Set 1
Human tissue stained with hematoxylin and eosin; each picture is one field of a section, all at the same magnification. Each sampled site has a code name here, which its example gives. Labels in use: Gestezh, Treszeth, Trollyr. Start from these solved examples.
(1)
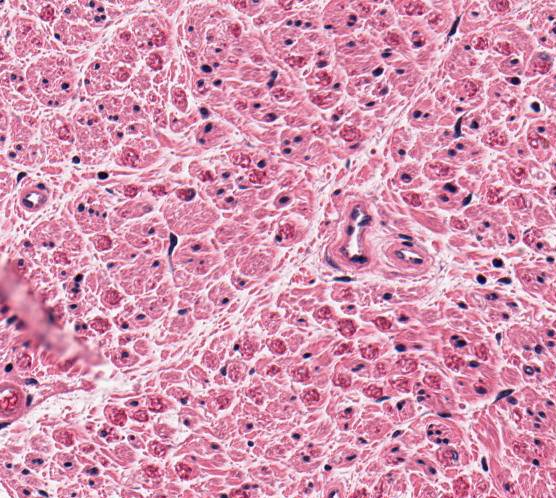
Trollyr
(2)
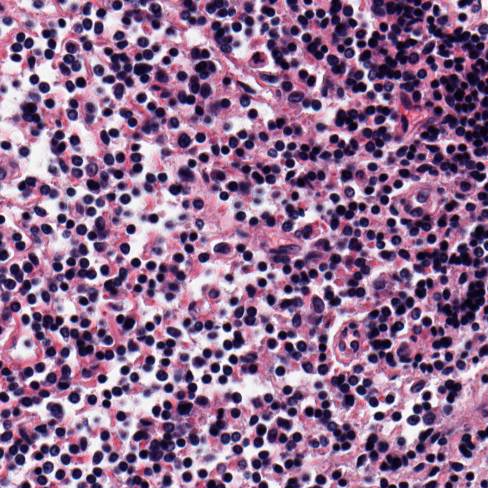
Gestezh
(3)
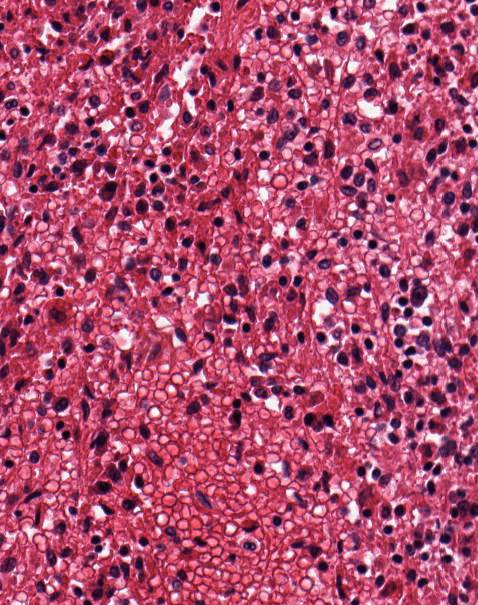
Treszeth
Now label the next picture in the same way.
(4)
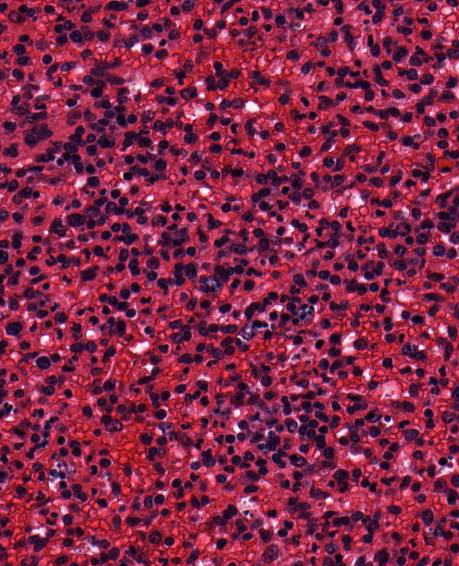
Treszeth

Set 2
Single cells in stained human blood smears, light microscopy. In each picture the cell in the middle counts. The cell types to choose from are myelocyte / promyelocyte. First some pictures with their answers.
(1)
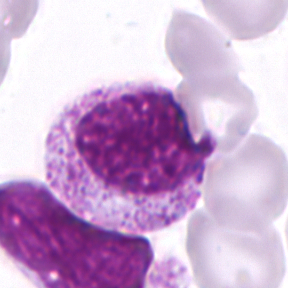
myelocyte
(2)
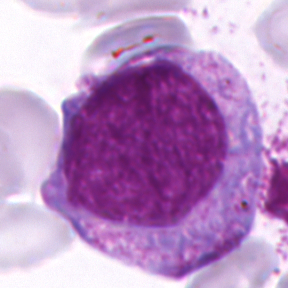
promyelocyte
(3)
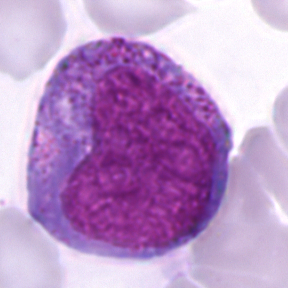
promyelocyte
